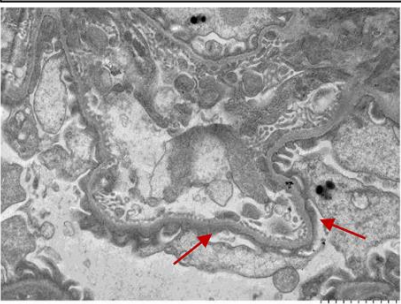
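Electron micrograph of a glomerular capillary wall at higher magnification. A dark basement membrane curves across the field. The cell layer on its outer side spreads as a broad continuous sheet instead of separate small foot processes.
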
